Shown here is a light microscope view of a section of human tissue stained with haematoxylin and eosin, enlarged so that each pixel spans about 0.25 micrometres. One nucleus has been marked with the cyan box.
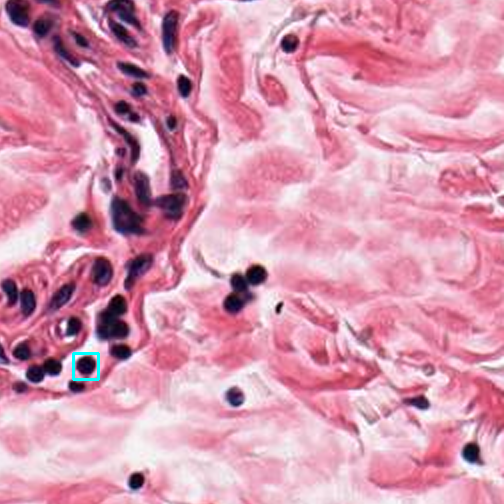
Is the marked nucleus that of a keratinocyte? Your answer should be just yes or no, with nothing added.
no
